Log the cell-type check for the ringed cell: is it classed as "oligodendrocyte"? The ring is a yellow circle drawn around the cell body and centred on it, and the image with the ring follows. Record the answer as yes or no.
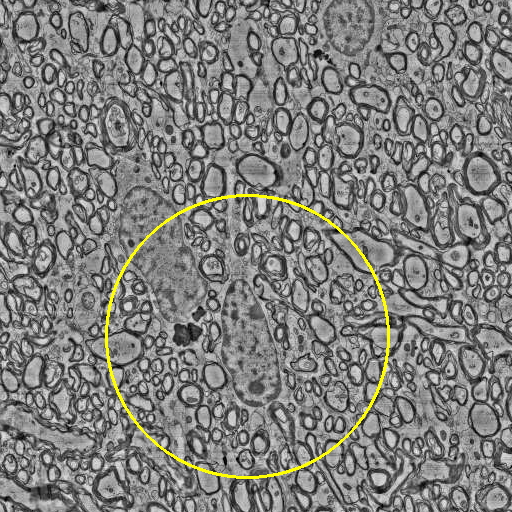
No, it is classed as another type.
